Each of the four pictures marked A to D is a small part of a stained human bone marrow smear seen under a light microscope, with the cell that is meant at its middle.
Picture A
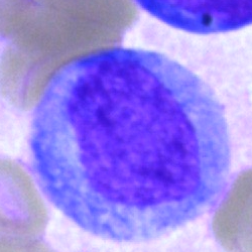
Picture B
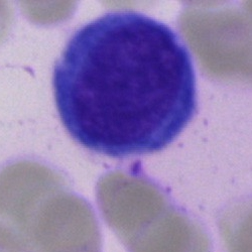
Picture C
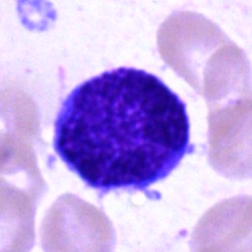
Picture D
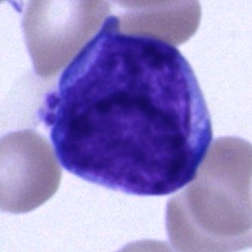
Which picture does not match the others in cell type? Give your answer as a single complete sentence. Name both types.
Unlike the rest, which show blasts, picture A shows a promyelocyte.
